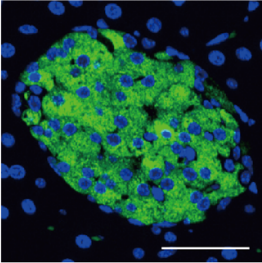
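A pancreatic islet appears as a large, oval, well-defined cluster of closely packed endocrine cells. Nearly every cell within the cluster has cytoplasm filled with bright green, granular-looking signal, surrounding a round to oval blue nucleus. Around the islet, the surrounding tissue contains scattered blue nuclei on a dark background without green signal, so the boundary of the islet stands out sharply against its surroundings.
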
